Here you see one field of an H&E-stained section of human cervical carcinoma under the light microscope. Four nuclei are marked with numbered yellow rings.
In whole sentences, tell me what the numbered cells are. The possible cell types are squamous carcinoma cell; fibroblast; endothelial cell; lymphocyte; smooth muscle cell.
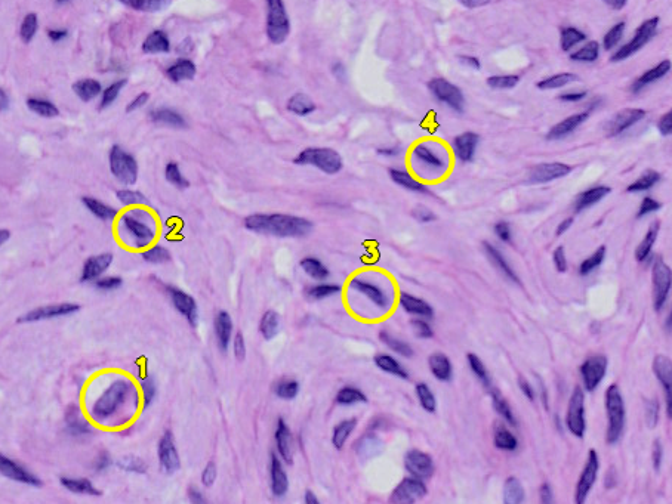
Cell 1 is an endothelial cell, cell 2 is a fibroblast, cell 3 is a fibroblast and cell 4 is a fibroblast.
